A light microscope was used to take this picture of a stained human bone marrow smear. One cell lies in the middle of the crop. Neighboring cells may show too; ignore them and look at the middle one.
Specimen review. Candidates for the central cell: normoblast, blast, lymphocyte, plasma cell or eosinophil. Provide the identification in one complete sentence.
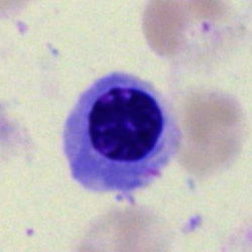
The crop centres on a single cell, and that cell is a normoblast.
